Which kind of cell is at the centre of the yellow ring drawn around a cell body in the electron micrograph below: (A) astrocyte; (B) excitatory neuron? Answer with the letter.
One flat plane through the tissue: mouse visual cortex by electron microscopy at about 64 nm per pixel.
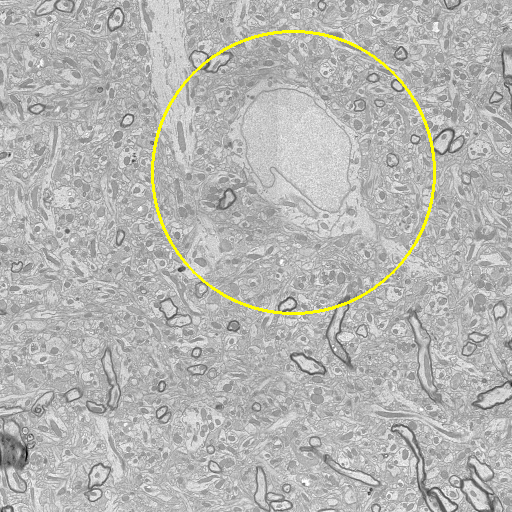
B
